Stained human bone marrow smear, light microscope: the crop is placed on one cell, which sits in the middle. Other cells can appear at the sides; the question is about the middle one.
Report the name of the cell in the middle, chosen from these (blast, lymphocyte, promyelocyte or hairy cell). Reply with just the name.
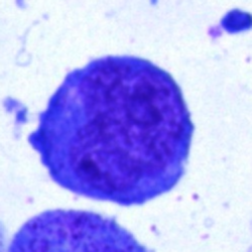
blast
